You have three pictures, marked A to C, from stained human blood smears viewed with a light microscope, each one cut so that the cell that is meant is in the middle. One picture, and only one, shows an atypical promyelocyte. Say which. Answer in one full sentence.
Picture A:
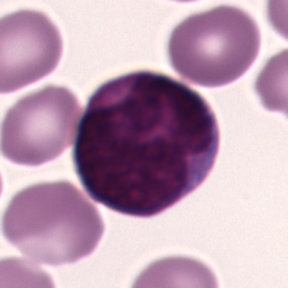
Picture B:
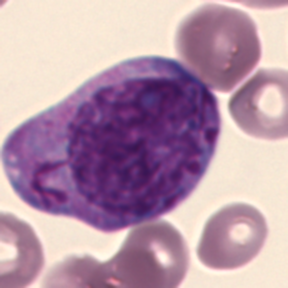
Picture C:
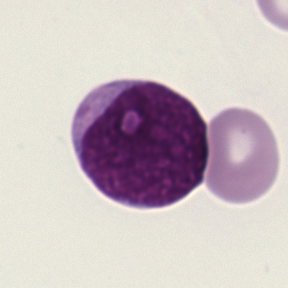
The cell in picture B is the atypical promyelocyte.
